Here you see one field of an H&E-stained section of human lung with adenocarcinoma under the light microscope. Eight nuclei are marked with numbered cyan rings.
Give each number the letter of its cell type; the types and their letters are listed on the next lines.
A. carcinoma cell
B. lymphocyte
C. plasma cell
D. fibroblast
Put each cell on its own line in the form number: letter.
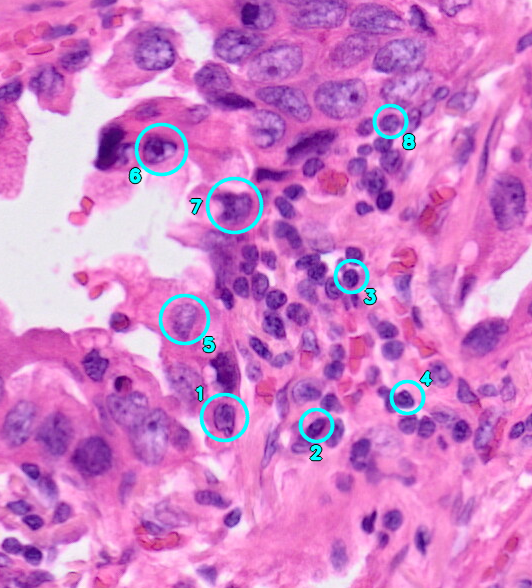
1: A
2: C
3: B
4: B
5: A
6: A
7: A
8: B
